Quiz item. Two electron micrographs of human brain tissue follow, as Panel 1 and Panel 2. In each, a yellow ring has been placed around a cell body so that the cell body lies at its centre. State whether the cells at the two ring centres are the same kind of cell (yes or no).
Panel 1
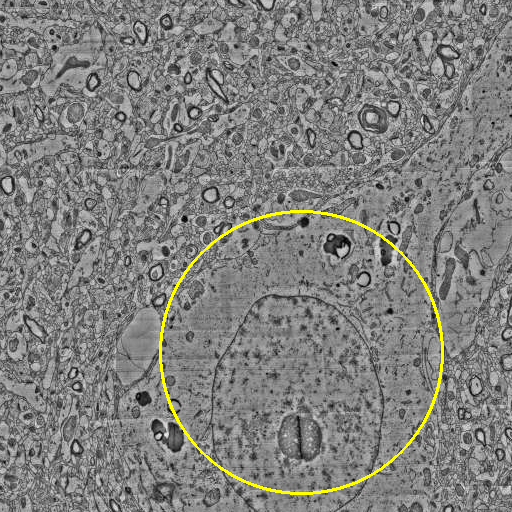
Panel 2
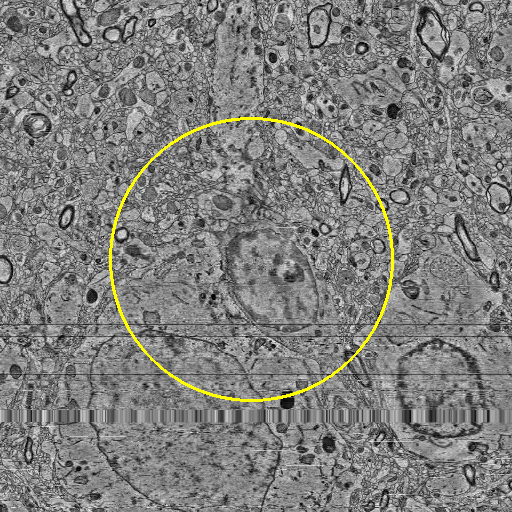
no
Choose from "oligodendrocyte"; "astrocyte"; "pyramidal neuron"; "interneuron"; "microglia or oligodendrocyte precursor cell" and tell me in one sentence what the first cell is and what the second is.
What the first ring is centred on is a pyramidal neuron; what the second ring is centred on is an oligodendrocyte.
